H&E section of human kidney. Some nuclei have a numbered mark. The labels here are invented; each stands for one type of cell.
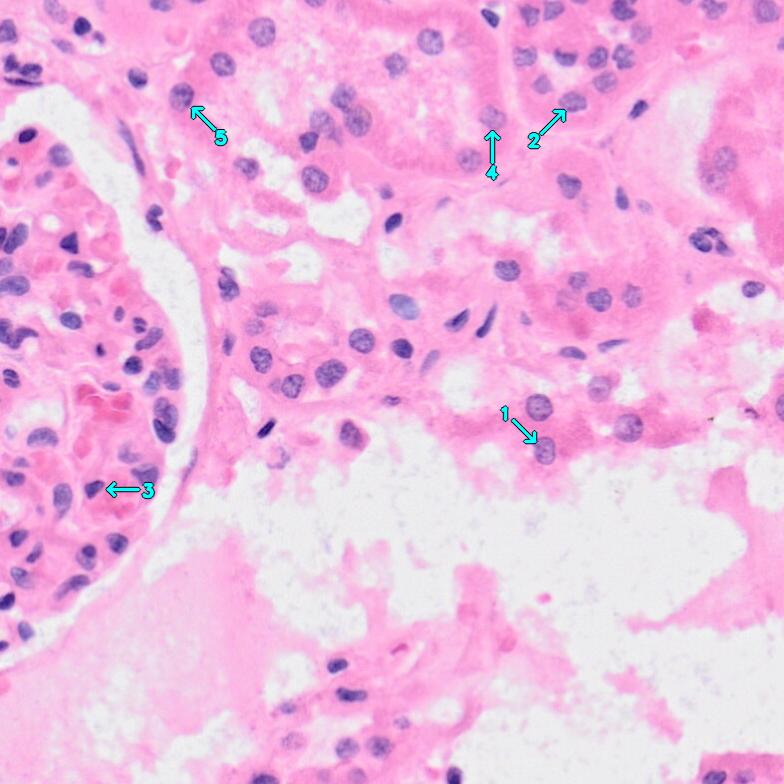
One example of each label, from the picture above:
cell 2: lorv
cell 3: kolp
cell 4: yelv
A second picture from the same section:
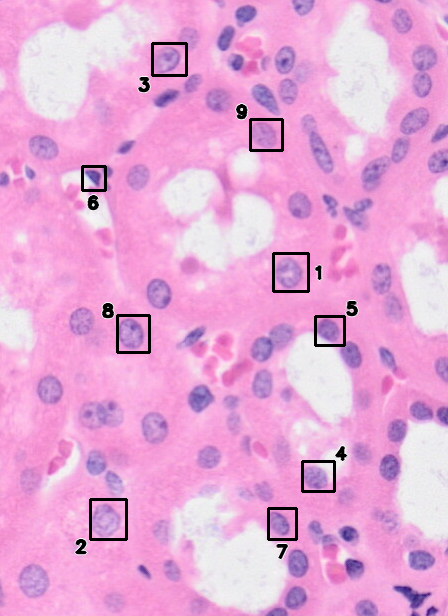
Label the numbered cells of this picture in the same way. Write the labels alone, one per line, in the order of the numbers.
yelv
yelv
yelv
lorv
lorv
kolp
lorv
yelv
yelv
